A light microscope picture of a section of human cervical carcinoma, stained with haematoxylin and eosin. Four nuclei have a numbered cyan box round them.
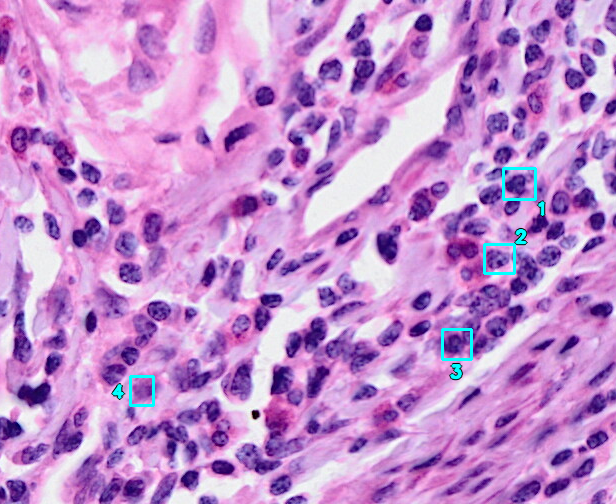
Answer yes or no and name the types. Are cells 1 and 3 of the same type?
Yes, cells 1 and 3 are both to be classed as lymphocytes.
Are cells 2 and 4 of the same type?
No, the correct reading has cell 2 as a lymphocyte and cell 4 as a macrophage or monocyte.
